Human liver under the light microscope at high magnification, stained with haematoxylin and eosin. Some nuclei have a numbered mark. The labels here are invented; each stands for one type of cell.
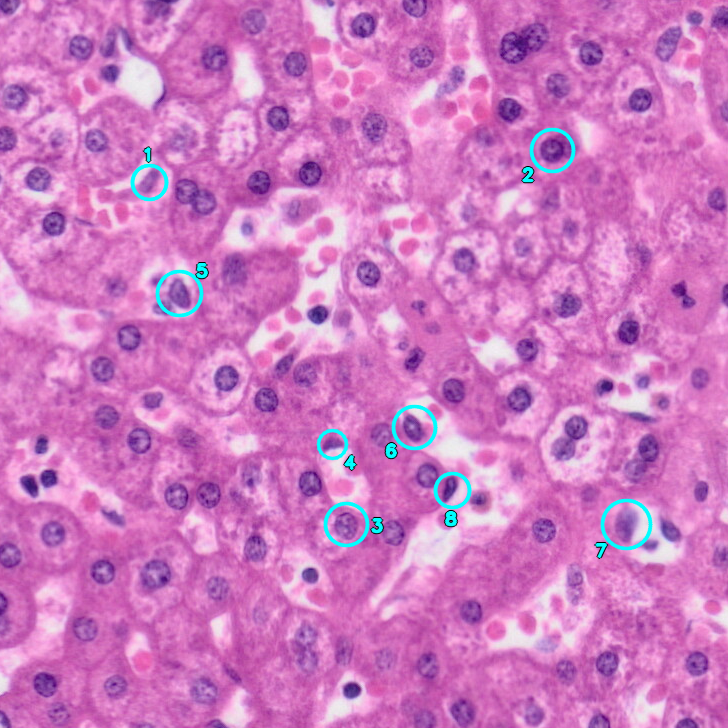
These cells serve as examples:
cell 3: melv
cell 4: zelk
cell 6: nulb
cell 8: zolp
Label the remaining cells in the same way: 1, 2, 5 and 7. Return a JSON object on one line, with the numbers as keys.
{"1": "nulb", "2": "melv", "5": "nulb", "7": "zelk"}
